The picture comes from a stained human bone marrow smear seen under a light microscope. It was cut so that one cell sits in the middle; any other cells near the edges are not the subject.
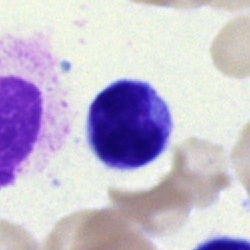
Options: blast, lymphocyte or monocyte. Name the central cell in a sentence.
Located at the centre of the crop is a lymphocyte.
